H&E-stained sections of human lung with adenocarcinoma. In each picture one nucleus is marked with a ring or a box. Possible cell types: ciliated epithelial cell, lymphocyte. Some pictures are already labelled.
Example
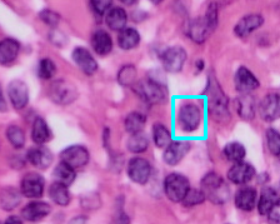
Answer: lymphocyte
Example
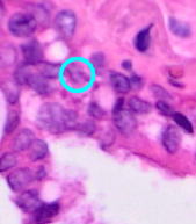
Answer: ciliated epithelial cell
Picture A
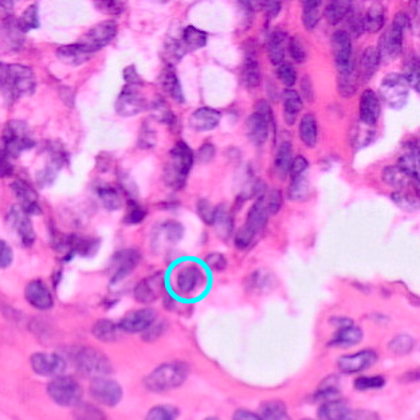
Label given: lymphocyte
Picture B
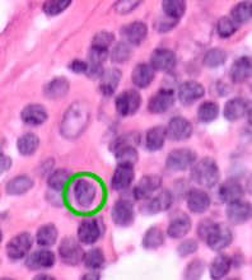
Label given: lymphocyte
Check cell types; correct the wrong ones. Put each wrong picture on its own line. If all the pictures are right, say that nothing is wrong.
A is labelled lymphocyte; correct label: ciliated epithelial cell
